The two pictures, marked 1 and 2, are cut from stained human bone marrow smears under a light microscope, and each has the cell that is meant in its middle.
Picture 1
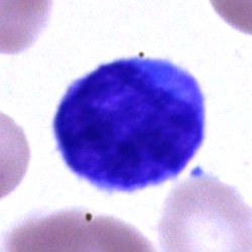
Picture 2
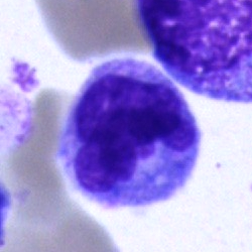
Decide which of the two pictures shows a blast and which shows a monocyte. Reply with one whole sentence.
In picture 1 the cell is a blast; in picture 2, a monocyte.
